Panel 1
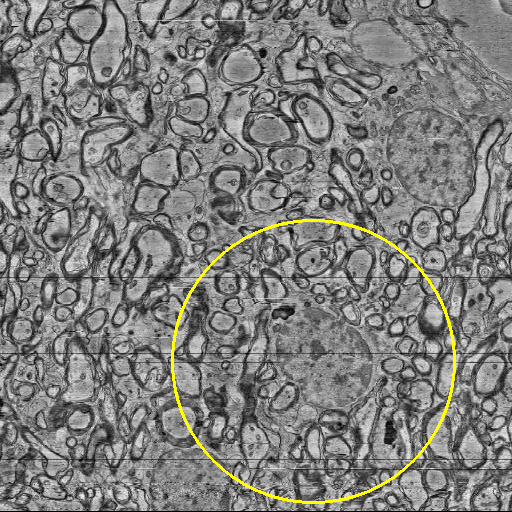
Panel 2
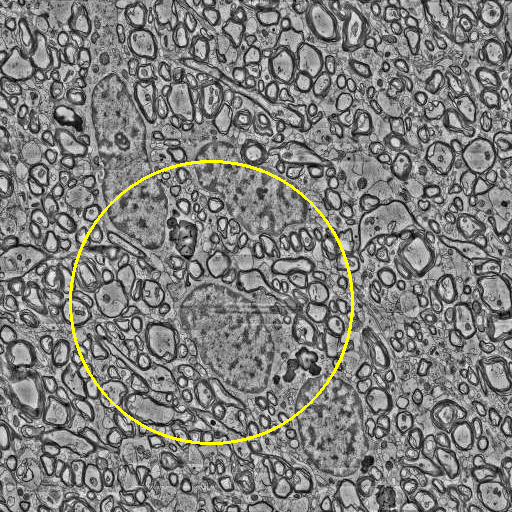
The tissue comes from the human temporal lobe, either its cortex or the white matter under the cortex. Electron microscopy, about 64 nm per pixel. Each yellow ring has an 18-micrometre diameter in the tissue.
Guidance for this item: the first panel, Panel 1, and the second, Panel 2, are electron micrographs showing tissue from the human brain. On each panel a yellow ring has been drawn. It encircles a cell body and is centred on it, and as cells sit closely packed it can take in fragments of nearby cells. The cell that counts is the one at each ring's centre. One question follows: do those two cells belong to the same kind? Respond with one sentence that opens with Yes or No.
Yes, the cells at the ring centres in Panel 1 and Panel 2 are of one kind.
